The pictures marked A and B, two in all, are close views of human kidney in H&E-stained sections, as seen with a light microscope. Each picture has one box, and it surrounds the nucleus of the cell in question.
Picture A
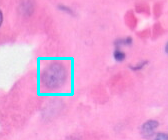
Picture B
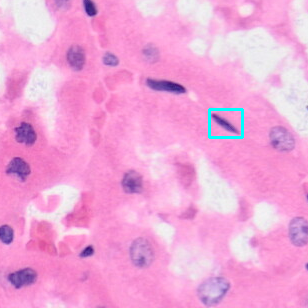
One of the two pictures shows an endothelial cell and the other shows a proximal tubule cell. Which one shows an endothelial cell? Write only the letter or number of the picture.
B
